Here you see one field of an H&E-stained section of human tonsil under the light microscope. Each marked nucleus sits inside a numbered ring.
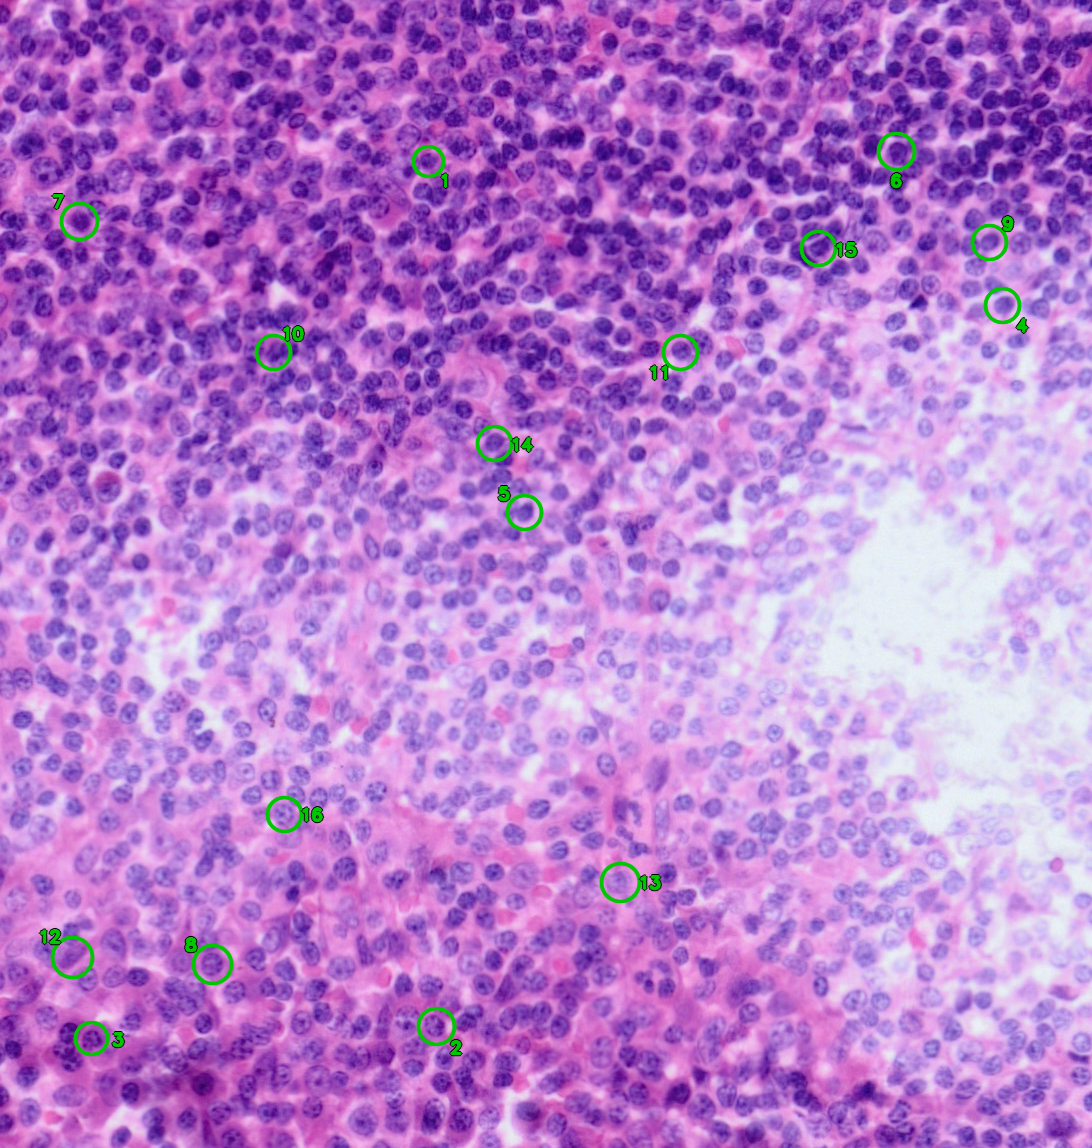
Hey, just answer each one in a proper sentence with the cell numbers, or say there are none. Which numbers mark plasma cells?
The cells that have numbers 2, 3, 8 and 16 are plasma cells.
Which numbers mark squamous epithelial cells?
Exactly one numbered cell is a squamous epithelial cell, and that cell is number 12.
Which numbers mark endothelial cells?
Only one choice fits: cell 13 is an endothelial cell, and no other.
